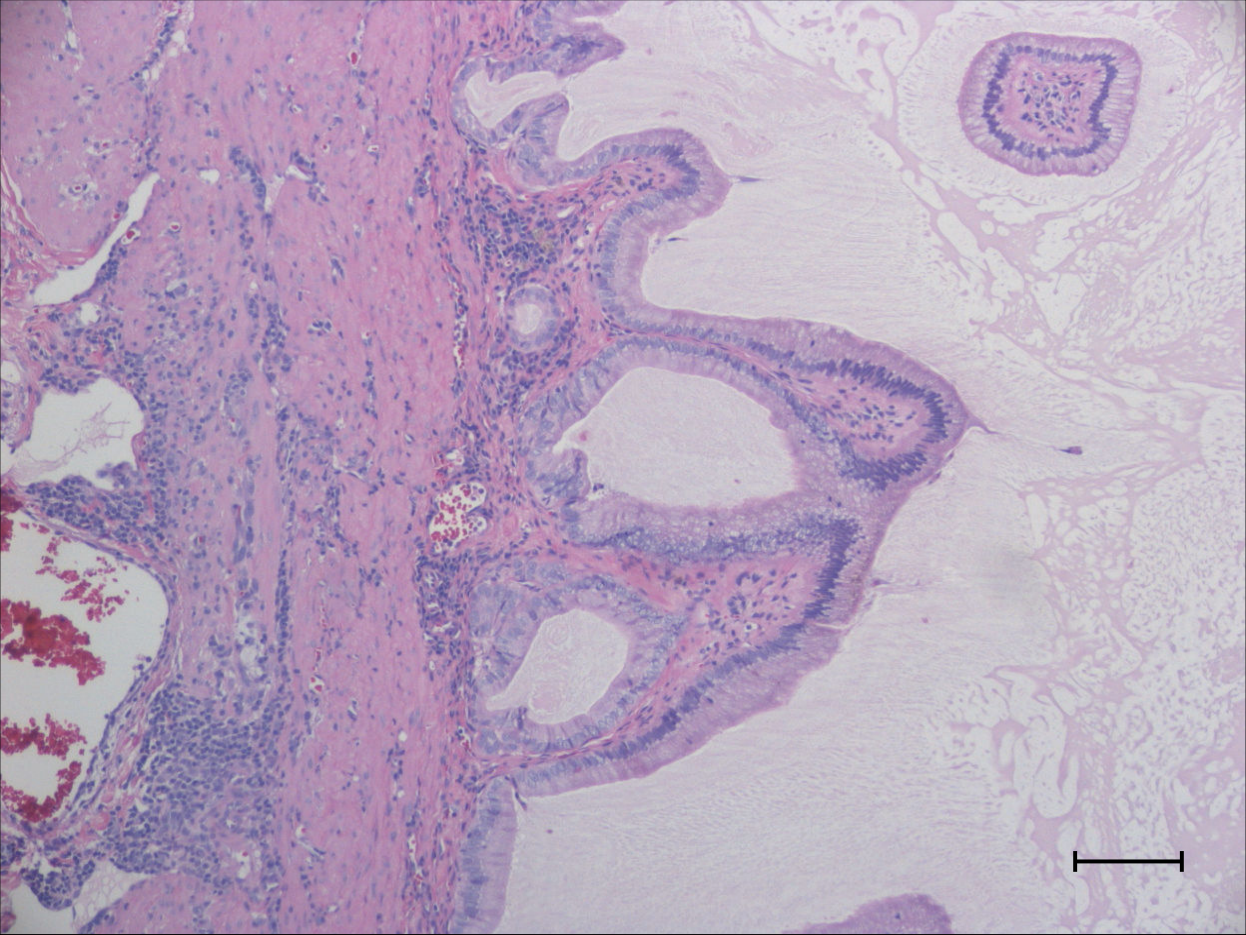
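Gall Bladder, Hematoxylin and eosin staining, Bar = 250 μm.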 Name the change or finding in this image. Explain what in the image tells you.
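Clusters of small, round, dark-blue nuclei lie beside vessels in the wall. Some of these vessels contain red blood cells. So: perivascular accumulations of lymphocytes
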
